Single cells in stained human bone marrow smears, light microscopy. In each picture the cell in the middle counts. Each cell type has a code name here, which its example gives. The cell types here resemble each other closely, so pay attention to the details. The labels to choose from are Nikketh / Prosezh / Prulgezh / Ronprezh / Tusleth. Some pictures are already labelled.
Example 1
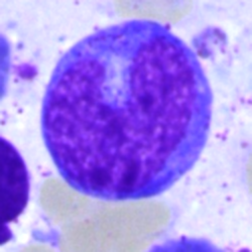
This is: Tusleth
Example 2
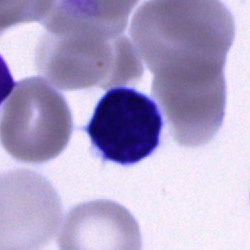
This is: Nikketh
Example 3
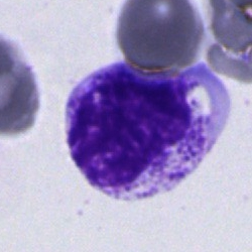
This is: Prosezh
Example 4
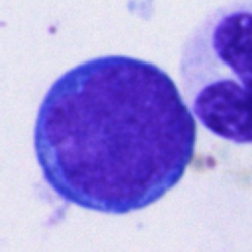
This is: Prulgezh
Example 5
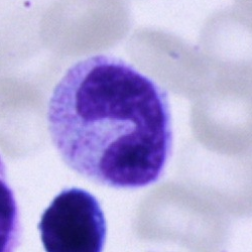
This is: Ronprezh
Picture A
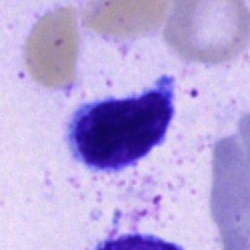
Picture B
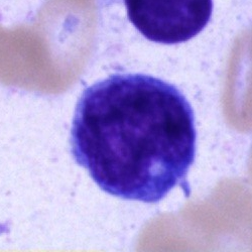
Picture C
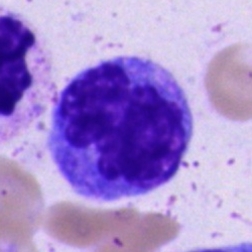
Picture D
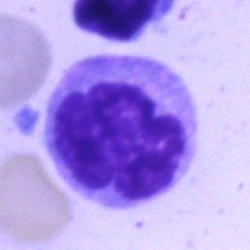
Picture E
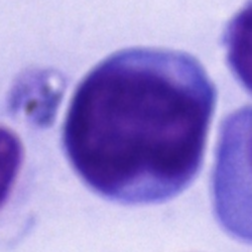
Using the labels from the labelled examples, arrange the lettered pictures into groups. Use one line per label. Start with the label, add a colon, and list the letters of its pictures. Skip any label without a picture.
Nikketh: A
Prulgezh: B, E
Tusleth: C, D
